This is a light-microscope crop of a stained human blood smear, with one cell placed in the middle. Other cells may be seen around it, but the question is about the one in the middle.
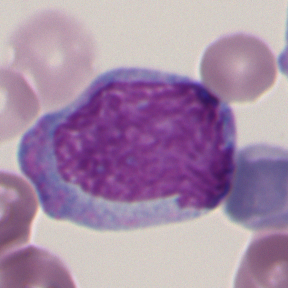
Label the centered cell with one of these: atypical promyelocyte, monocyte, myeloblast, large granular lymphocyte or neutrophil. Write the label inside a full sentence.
The centrally placed cell is classified as an atypical promyelocyte.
